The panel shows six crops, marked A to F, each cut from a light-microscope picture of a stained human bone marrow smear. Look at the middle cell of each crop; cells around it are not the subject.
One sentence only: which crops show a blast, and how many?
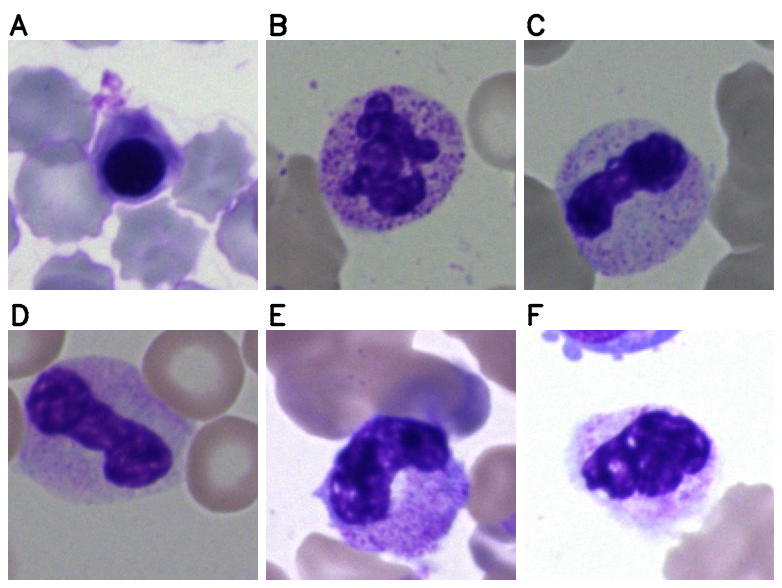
The total for blasts across the crops is zero, as none contains any.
